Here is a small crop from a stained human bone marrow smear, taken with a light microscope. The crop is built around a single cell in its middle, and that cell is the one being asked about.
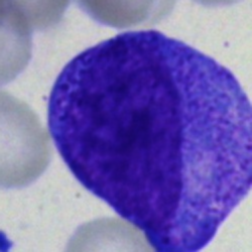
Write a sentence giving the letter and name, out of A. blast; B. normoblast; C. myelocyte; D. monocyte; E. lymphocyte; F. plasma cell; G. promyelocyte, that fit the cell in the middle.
The central cell, a promyelocyte, is correctly identified by option G.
